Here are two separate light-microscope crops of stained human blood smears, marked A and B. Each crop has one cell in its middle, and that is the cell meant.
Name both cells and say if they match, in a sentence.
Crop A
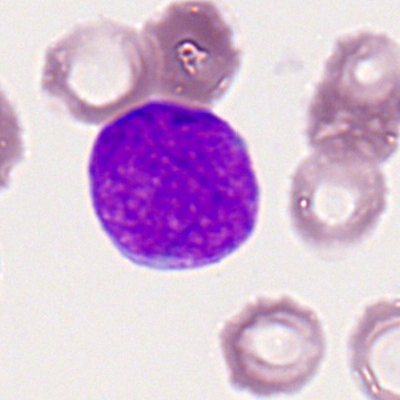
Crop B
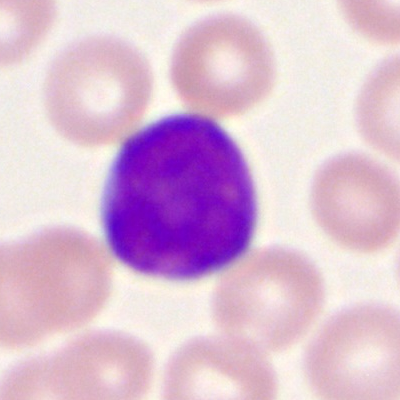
Yes, put down myeloblasts for both crops.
